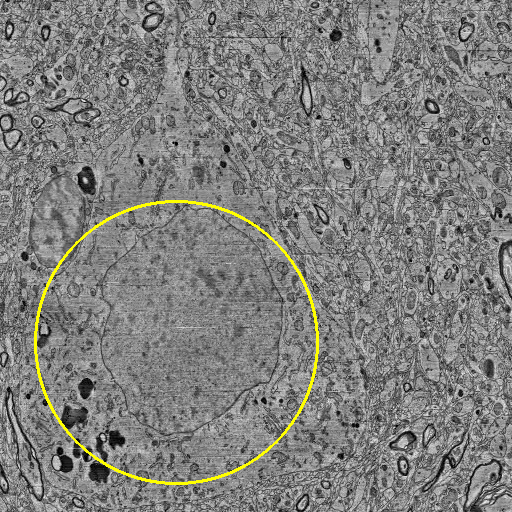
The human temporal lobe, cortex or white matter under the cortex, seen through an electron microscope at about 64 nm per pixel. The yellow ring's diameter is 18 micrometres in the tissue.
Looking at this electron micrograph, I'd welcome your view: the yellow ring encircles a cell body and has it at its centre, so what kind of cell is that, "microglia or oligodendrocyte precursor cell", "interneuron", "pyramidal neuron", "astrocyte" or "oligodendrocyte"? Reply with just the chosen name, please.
pyramidal neuron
